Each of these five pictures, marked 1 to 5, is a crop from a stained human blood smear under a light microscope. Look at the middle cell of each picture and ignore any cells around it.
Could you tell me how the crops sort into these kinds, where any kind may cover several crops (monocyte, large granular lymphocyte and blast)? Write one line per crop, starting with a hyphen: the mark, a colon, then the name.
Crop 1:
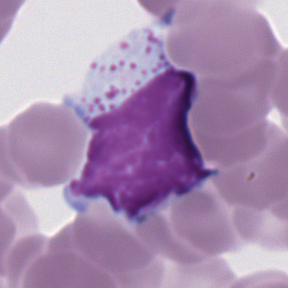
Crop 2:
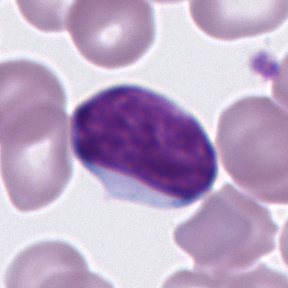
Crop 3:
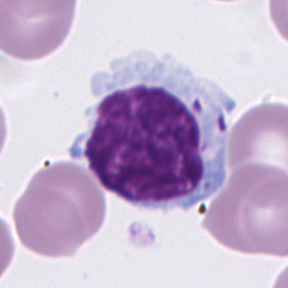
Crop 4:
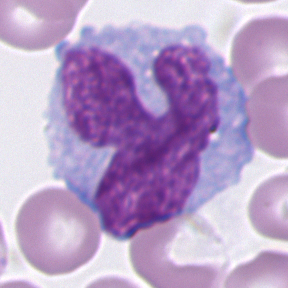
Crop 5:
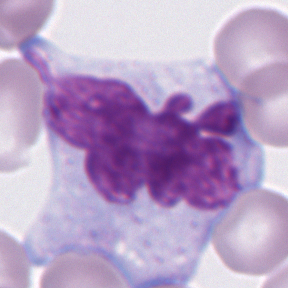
- 1: large granular lymphocyte
- 2: blast
- 3: large granular lymphocyte
- 4: monocyte
- 5: monocyte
